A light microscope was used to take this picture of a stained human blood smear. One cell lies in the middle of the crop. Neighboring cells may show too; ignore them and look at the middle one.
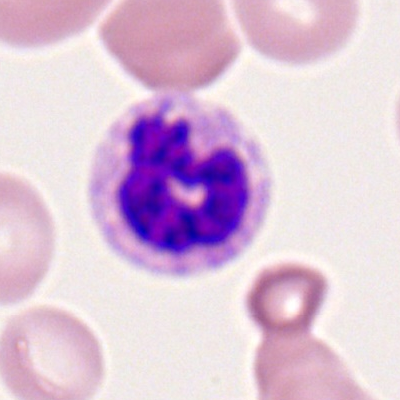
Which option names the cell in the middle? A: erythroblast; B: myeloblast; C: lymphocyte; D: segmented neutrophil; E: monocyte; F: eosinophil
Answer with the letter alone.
D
